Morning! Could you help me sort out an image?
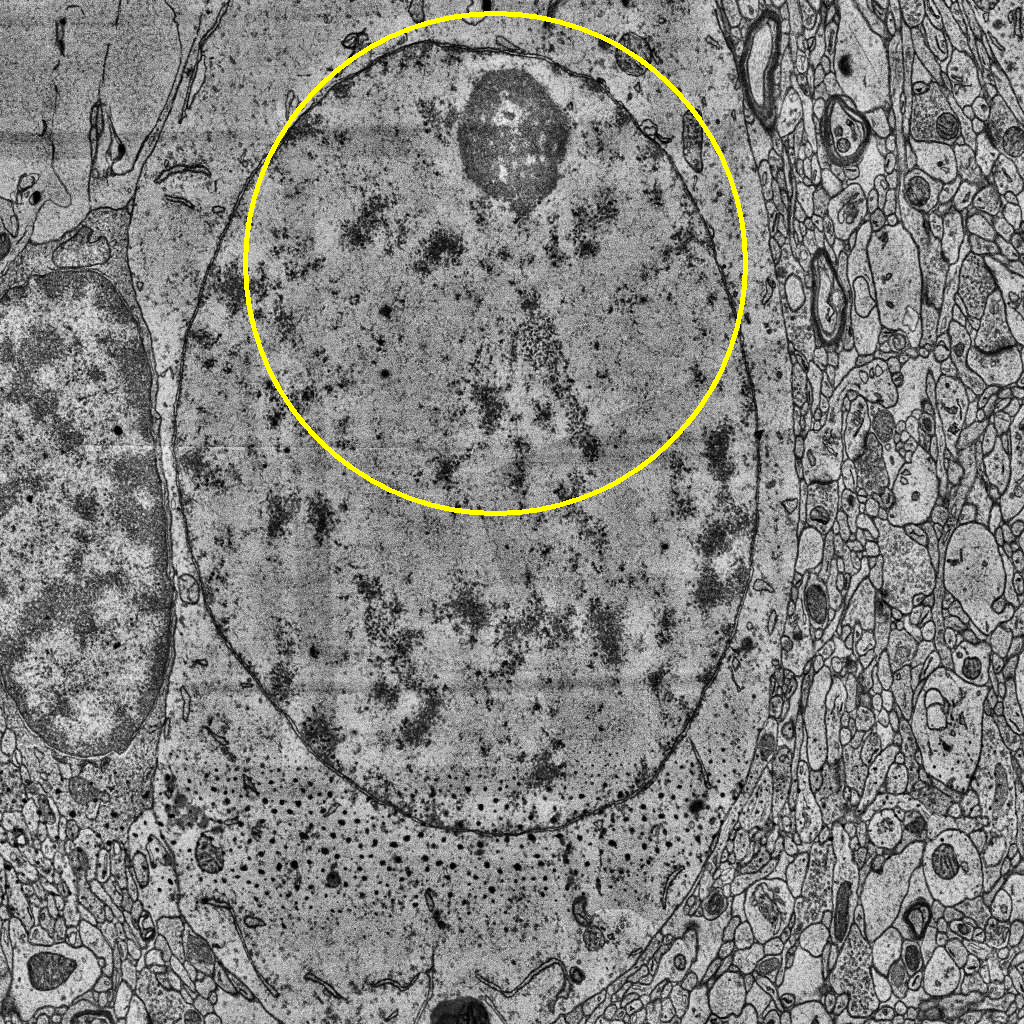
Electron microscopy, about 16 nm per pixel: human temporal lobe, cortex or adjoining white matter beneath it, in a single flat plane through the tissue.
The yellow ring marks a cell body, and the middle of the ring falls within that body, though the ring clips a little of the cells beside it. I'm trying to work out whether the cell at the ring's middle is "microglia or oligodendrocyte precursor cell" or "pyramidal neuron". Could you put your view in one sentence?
The cell body at the ring's middle is that of a pyramidal neuron.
